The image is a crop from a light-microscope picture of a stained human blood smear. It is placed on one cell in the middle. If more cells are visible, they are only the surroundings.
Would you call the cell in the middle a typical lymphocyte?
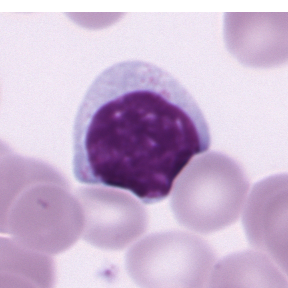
no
